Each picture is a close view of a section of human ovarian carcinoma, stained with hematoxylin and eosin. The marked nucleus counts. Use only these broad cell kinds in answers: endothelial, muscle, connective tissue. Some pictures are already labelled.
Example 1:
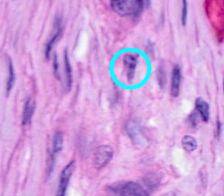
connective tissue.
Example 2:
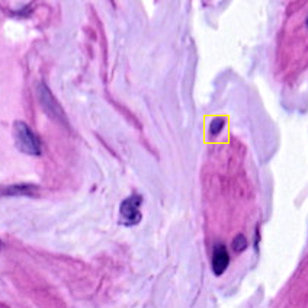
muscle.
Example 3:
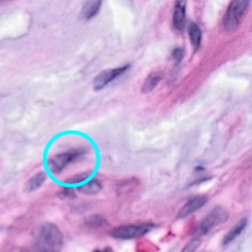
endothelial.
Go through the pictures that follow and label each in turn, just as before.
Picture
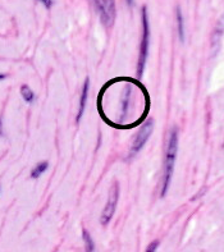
connective tissue.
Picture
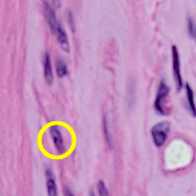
muscle.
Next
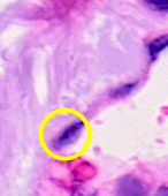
endothelial.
